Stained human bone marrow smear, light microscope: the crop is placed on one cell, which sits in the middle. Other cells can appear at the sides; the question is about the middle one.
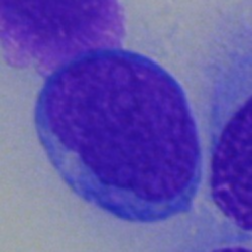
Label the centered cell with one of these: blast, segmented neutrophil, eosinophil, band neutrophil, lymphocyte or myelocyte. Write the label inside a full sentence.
The cell centered in this field of view is a blast.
